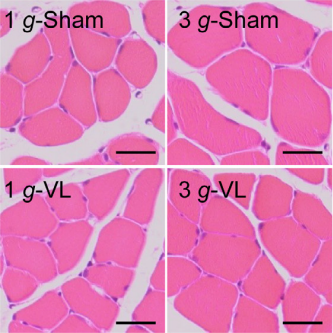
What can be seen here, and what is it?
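These are cross-sections of skeletal muscle showing myofibers cut transversely. Each myofiber appears as a polygonal profile with homogeneous pink cytoplasm. Dark purple, flattened nuclei lie at the edge of the fibers, just beneath their borders, rather than in the centre. Fibers are tightly packed and separated by narrow pale spaces, with wider pale gaps marking the boundaries between groups of fibers. Fiber profiles differ in size between the four images, being larger in one of them.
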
